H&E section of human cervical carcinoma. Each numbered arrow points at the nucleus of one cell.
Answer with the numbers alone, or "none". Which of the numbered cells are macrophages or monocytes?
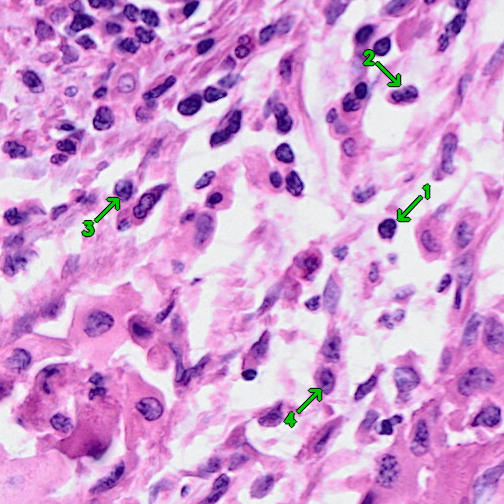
4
